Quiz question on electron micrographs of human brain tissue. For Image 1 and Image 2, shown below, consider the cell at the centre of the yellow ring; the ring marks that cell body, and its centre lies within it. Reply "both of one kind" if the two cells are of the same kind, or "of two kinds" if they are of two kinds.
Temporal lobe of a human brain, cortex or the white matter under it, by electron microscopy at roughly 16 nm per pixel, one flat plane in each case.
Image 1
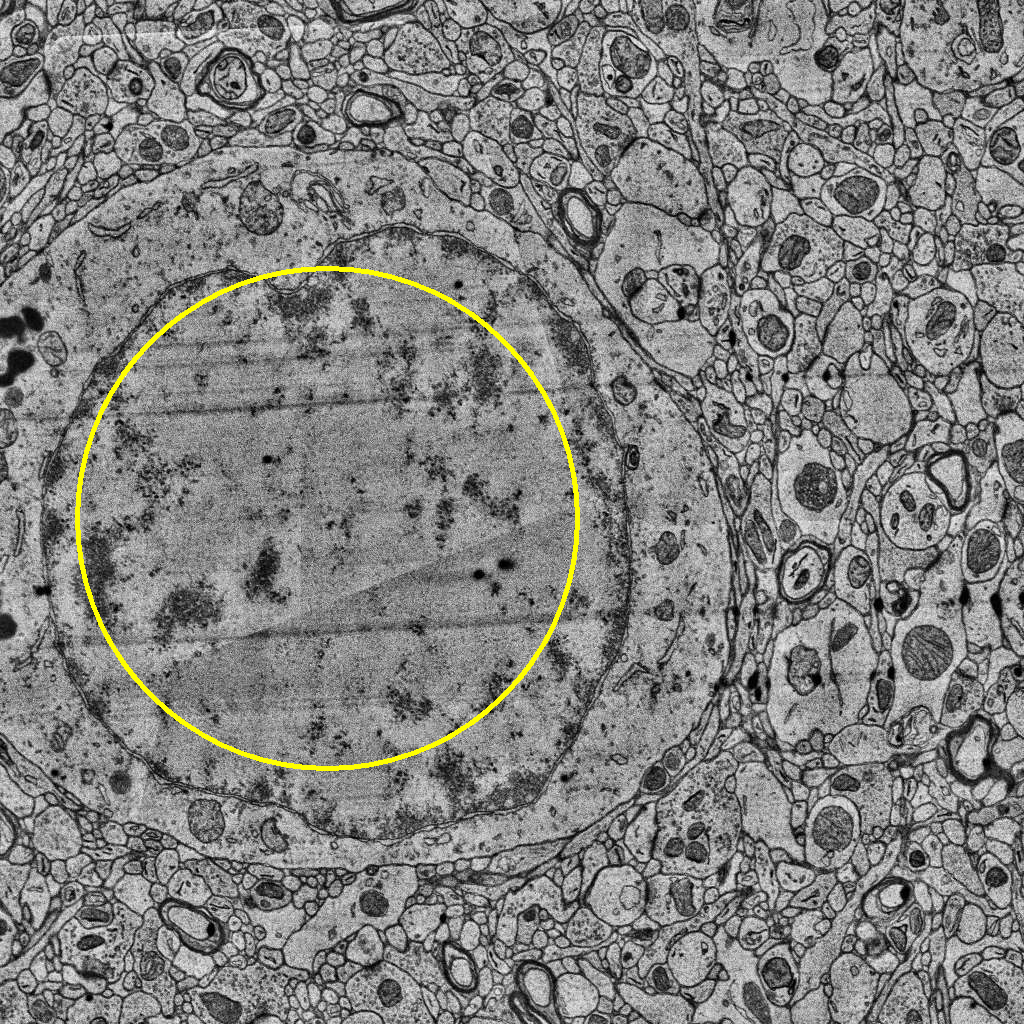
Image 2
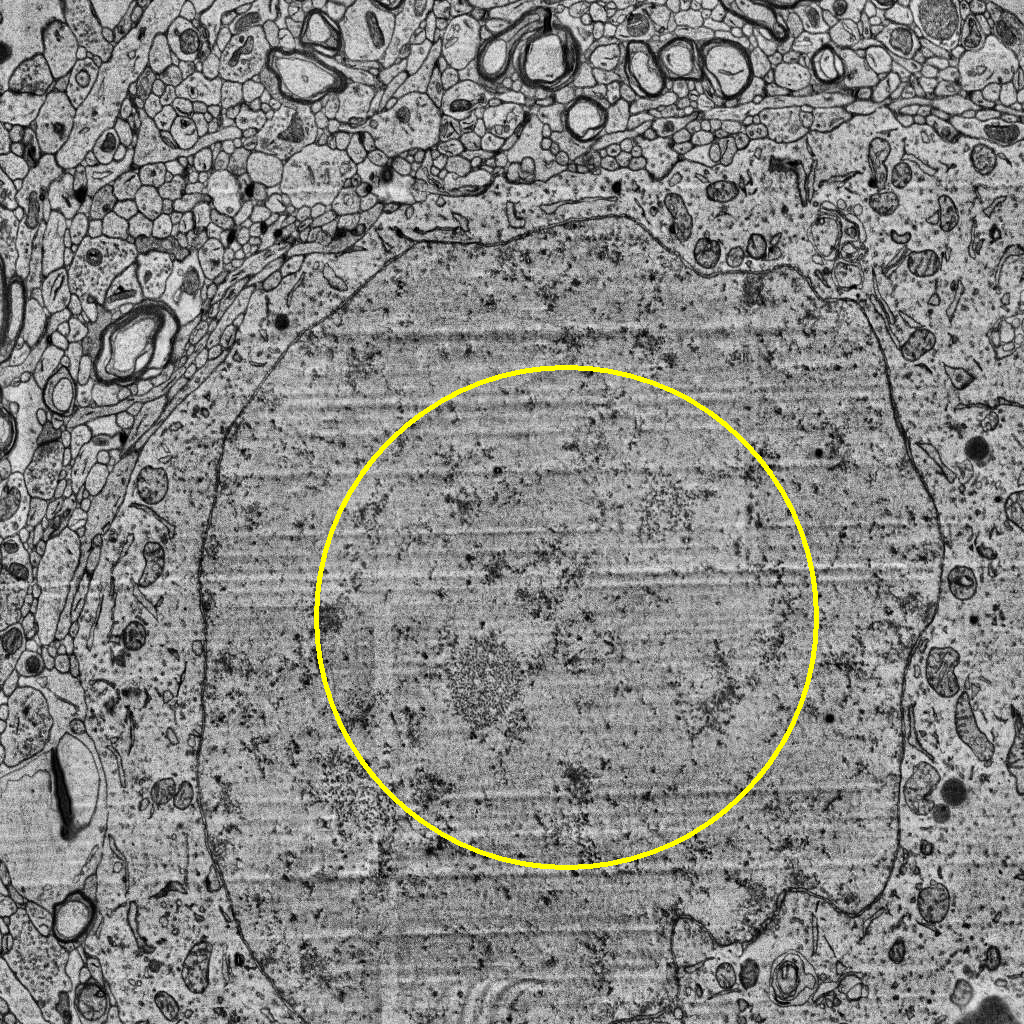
of two kinds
